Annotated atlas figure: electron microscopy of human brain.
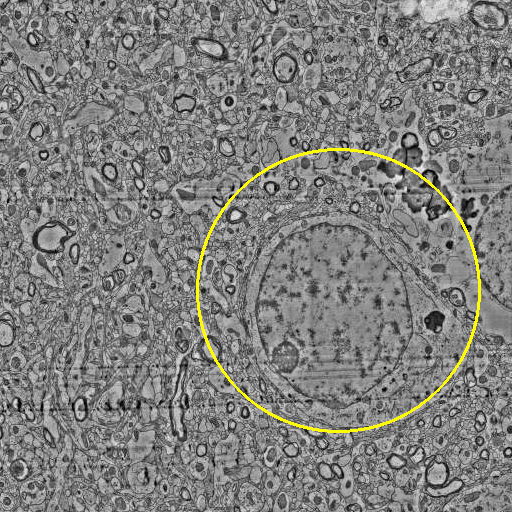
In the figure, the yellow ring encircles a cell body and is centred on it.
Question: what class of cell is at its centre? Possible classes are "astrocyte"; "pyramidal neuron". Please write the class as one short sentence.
The yellow ring is drawn around a pyramidal neuron.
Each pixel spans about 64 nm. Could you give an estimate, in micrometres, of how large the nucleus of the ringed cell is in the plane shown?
About 12 micrometres by about 10 micrometres in this plane.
